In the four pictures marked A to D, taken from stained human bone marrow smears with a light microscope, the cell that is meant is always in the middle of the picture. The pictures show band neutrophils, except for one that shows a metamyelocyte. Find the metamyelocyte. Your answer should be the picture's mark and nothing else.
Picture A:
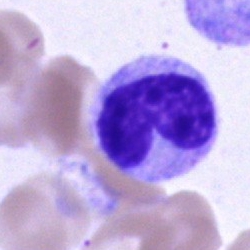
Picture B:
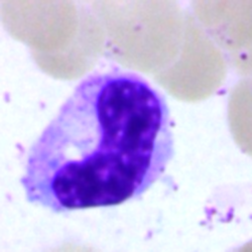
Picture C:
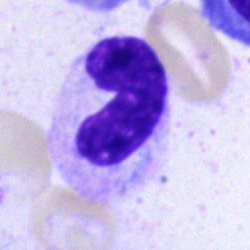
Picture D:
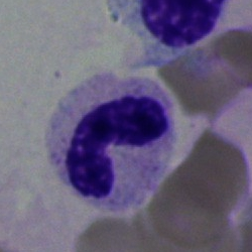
A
